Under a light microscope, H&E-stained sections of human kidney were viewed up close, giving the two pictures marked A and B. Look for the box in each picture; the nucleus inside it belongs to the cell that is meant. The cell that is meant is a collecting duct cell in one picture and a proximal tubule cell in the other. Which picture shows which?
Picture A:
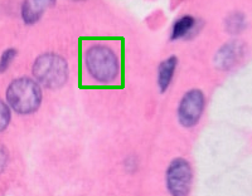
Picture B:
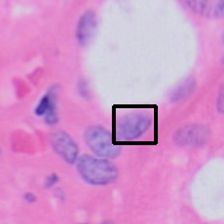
A: proximal tubule cell
B: collecting duct cell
